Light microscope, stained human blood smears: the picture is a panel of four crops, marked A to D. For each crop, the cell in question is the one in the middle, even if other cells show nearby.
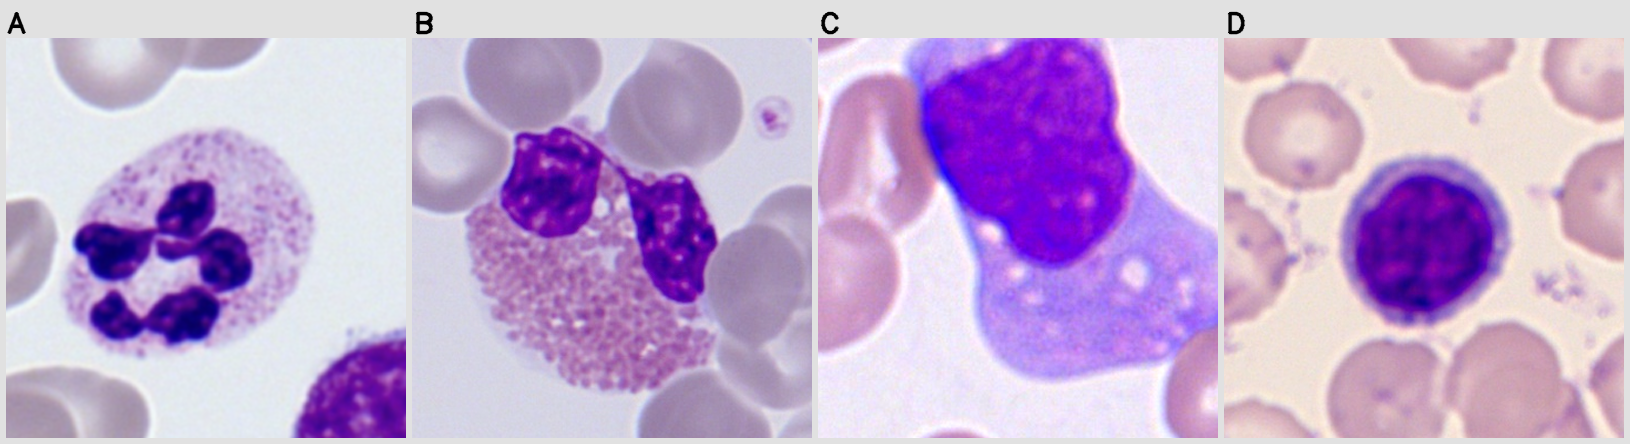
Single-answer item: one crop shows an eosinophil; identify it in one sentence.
Crop B is the crop whose central cell is an eosinophil.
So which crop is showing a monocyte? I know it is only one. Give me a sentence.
That would be crop C; it shows a monocyte.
